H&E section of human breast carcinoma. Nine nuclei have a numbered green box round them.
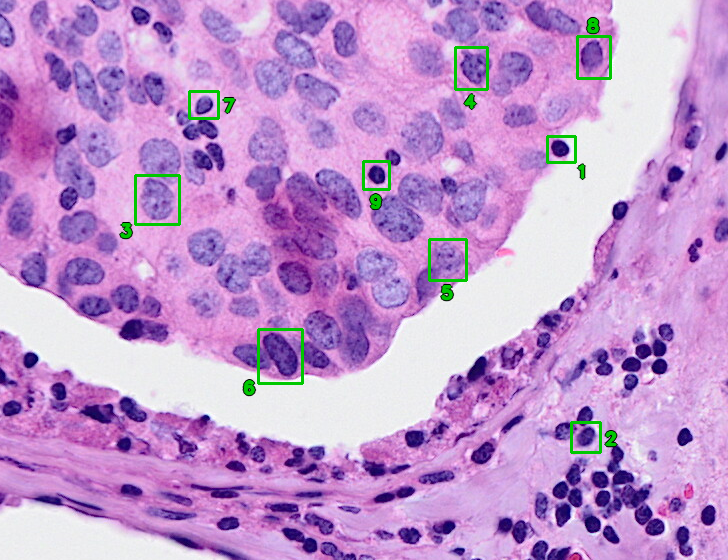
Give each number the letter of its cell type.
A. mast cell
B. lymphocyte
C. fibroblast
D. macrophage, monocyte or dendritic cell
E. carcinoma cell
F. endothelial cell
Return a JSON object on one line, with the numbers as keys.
{"1": "B", "2": "B", "3": "E", "4": "E", "5": "E", "6": "E", "7": "B", "8": "E", "9": "B"}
